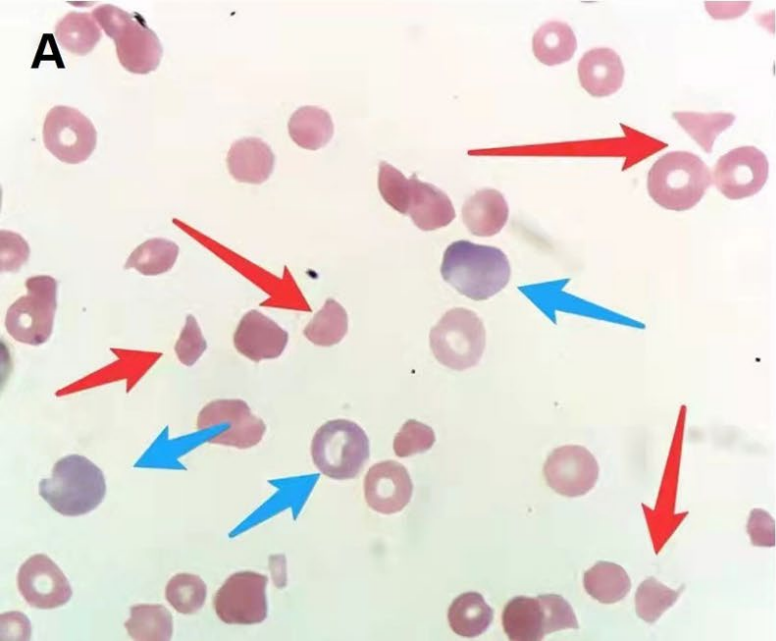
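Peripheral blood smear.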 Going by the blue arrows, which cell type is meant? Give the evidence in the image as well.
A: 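Reticulocytes. The marked cells have a bluish-grey to purplish tint unlike the pink red cells. Two of the marked cells are somewhat larger than the neighbouring red cells and lack central pallor.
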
